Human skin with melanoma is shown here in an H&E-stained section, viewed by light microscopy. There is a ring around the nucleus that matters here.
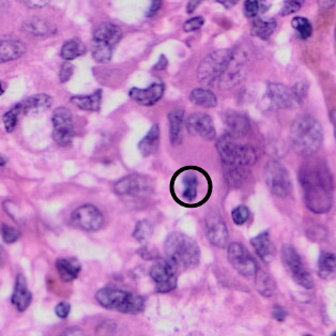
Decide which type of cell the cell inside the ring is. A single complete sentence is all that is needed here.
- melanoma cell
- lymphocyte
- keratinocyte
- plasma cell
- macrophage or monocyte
Histopathologically, the cell inside the ring is a lymphocyte.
